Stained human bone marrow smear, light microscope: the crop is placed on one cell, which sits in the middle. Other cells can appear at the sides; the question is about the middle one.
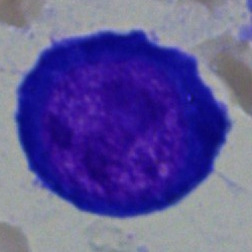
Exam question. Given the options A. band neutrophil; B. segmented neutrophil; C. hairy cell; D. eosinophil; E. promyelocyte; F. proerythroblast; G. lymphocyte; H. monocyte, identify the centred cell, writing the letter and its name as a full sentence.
According to option F, which is correct, the cell in the middle is a proerythroblast.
